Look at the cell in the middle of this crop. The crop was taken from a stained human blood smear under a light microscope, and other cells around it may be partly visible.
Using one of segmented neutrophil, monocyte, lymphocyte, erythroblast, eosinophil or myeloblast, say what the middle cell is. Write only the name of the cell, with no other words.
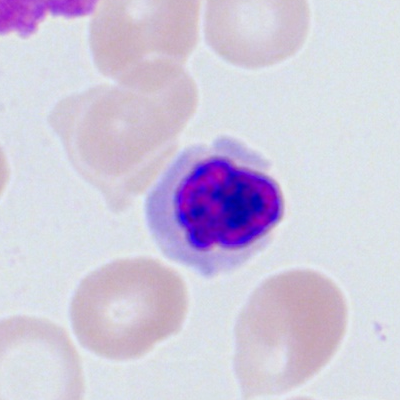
erythroblast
